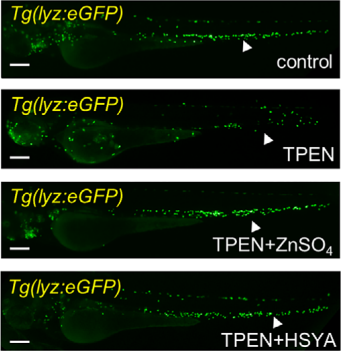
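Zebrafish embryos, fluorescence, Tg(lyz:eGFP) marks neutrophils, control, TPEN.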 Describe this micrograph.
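Four whole zebrafish larvae are shown in lateral view, stacked one above the other, with the head to the left and the tail to the right. Small, discrete green fluorescent dots, each about the size of a single cell, are scattered over the body against a dark, weakly autofluorescent background. In most of the larvae the dots are densest along the ventral side of the trunk and tail, forming a loose row. In one larva the dots are fewer in the tail and are found more over the head and yolk region. White arrowheads point to the dots in the tail region.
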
